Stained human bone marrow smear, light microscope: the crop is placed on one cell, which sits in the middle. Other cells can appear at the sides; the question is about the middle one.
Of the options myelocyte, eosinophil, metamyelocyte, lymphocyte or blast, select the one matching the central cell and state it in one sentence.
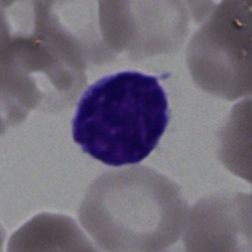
Here the cell in the middle is a lymphocyte.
